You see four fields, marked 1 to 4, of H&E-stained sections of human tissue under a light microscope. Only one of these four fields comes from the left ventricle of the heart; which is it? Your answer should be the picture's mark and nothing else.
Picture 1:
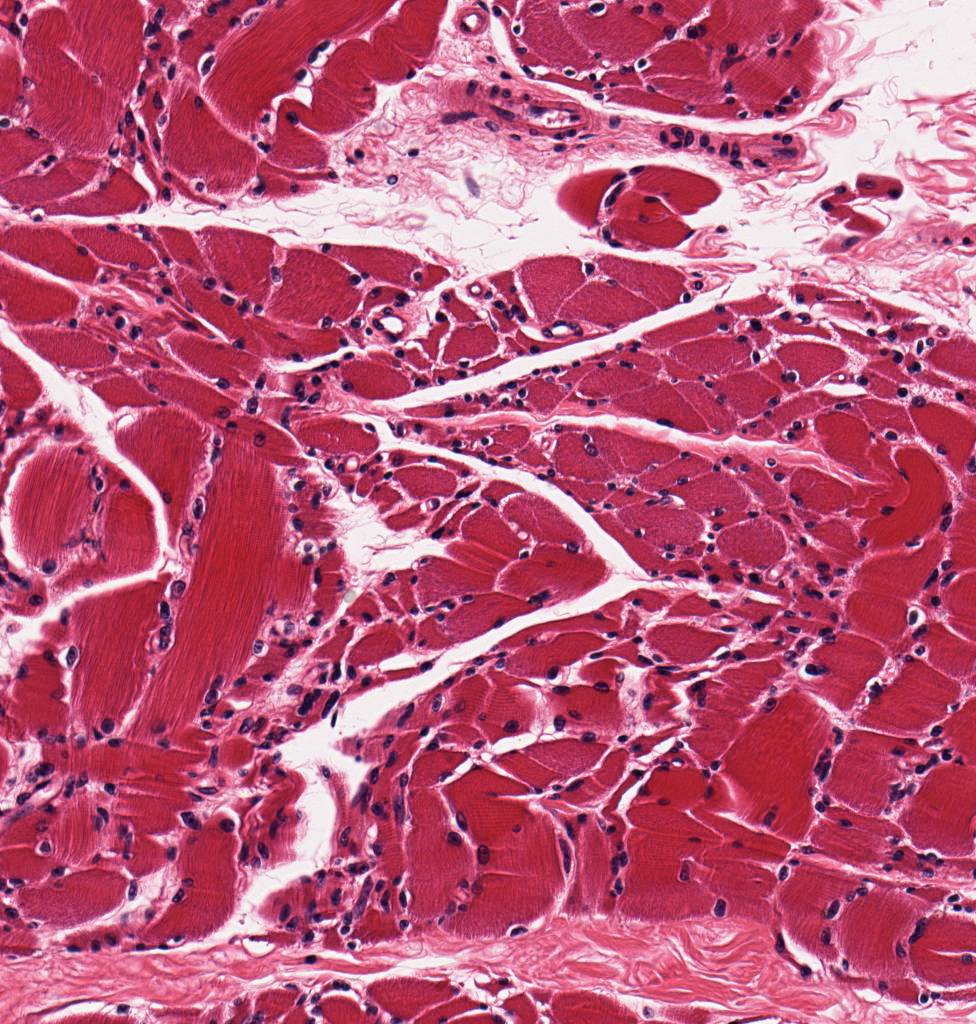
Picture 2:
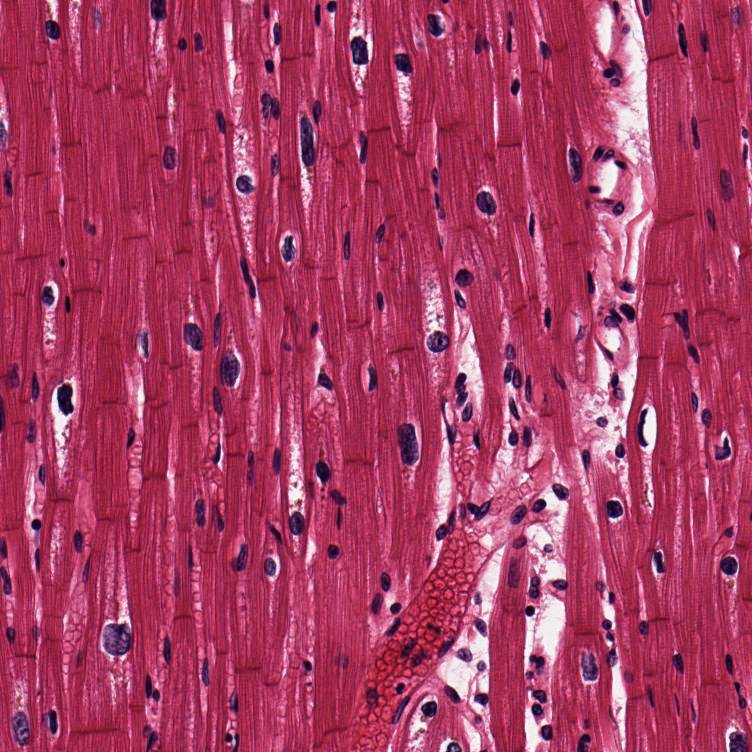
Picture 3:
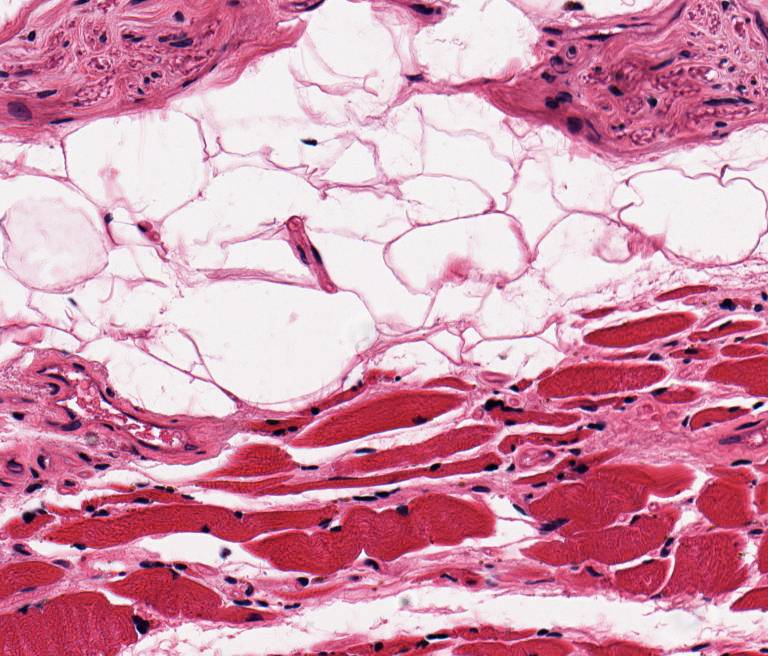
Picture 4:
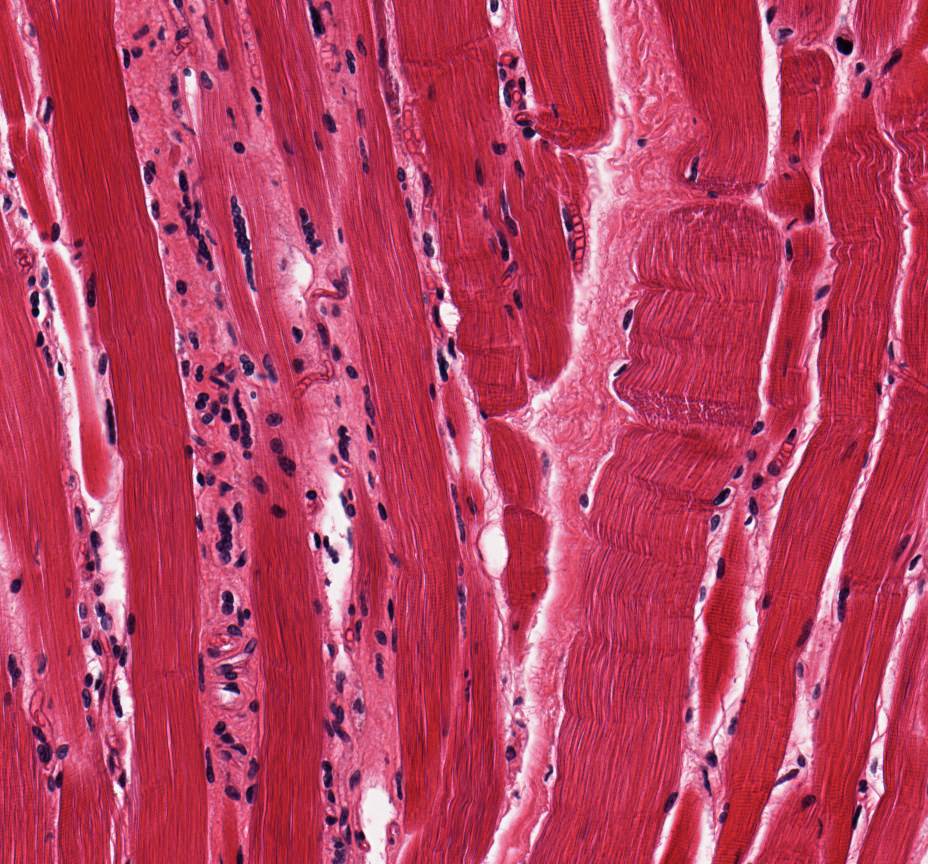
2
